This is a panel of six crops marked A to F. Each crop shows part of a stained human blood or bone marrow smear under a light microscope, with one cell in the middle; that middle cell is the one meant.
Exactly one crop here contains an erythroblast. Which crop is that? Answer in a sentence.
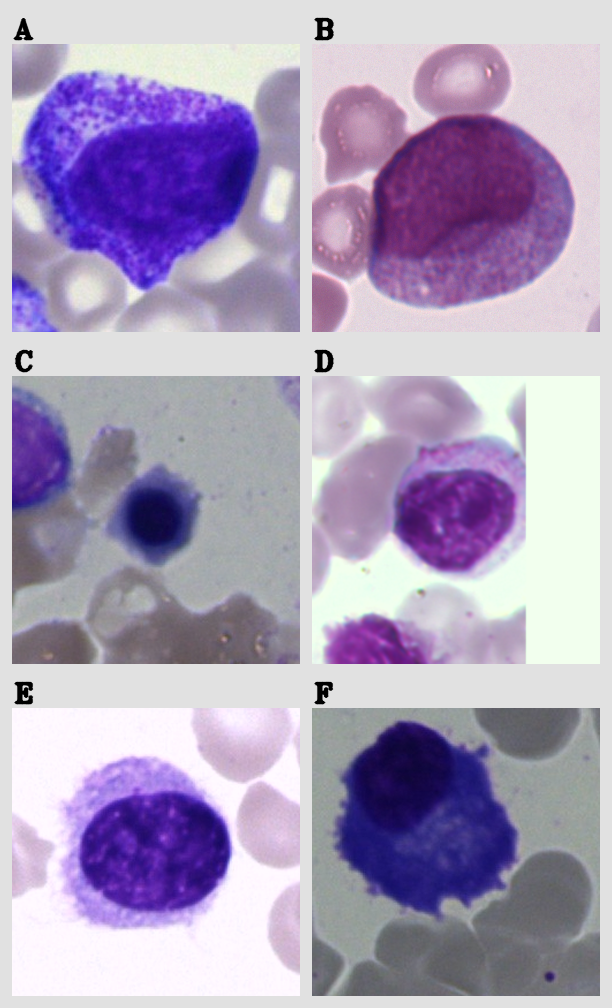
Crop C is the one depicting an erythroblast.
